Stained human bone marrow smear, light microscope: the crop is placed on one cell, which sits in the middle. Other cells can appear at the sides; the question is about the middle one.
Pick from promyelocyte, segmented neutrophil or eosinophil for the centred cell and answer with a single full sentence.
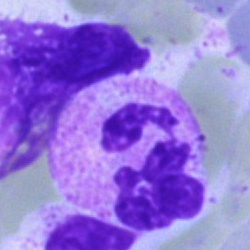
Whatever else lies nearby, the middle cell is a segmented neutrophil.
